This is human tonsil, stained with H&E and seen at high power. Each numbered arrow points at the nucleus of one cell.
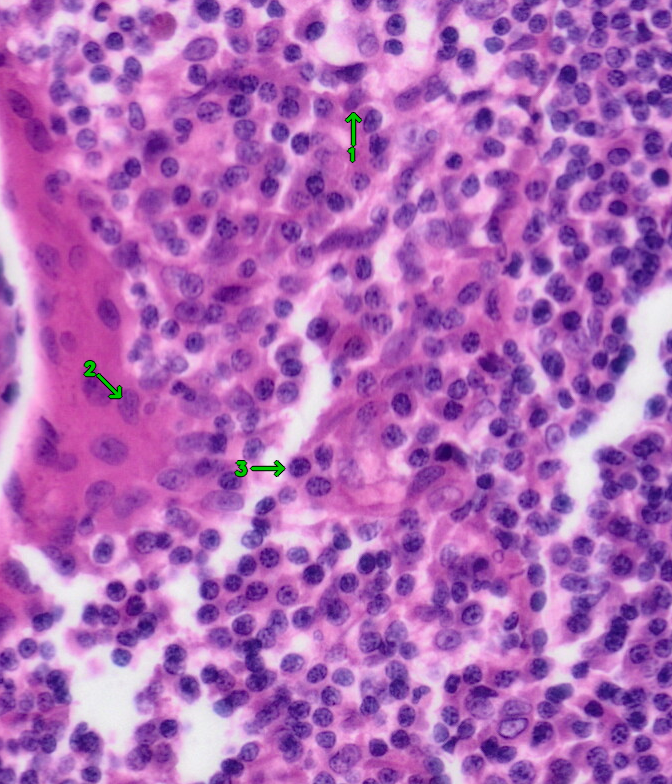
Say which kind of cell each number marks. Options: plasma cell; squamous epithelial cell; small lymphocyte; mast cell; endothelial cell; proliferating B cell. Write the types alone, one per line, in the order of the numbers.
squamous epithelial cell
squamous epithelial cell
plasma cell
